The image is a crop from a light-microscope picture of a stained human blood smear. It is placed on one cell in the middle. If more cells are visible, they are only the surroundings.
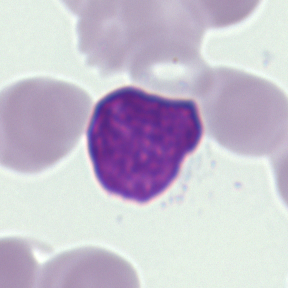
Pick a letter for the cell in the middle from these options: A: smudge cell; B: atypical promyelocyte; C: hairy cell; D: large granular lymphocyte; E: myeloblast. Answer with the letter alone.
A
